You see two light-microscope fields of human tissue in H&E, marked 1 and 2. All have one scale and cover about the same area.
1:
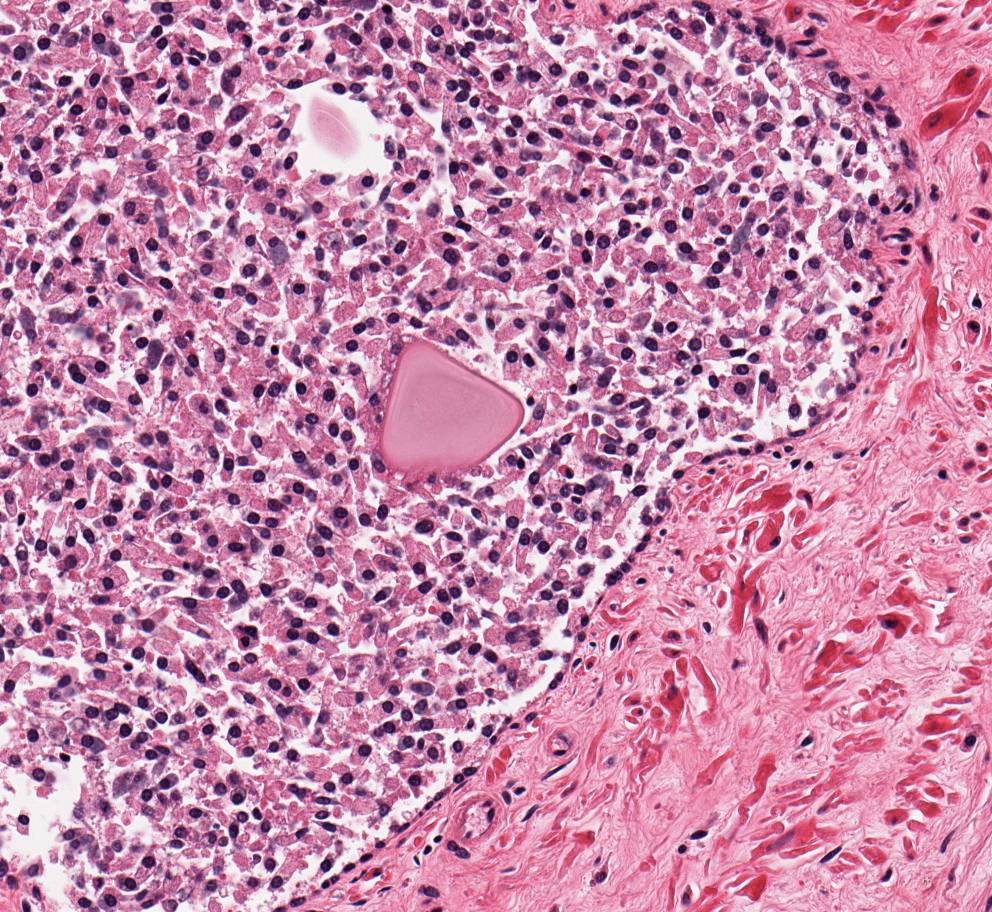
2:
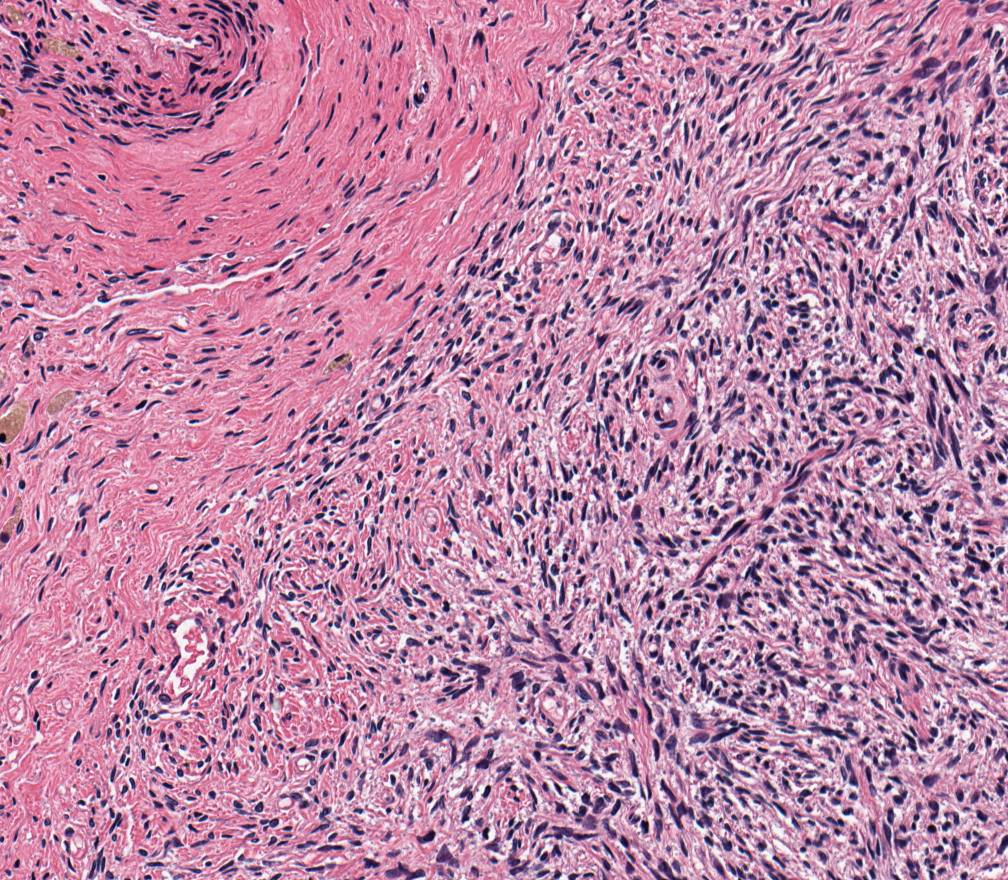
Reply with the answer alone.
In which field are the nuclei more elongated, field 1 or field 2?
2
